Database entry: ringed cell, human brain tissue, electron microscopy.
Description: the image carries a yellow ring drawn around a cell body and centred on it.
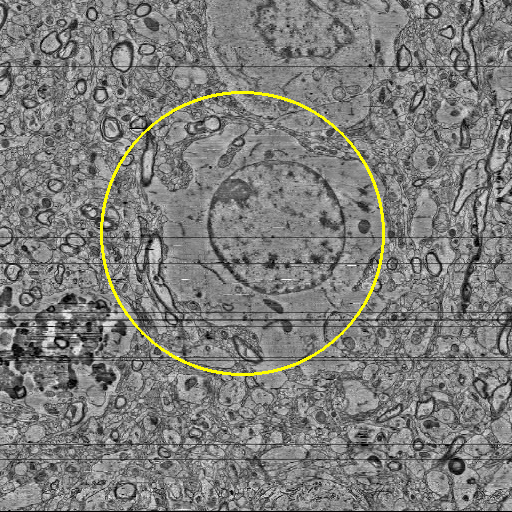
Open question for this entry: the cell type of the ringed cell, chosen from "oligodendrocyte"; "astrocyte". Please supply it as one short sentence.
The ringed cell is an astrocyte.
